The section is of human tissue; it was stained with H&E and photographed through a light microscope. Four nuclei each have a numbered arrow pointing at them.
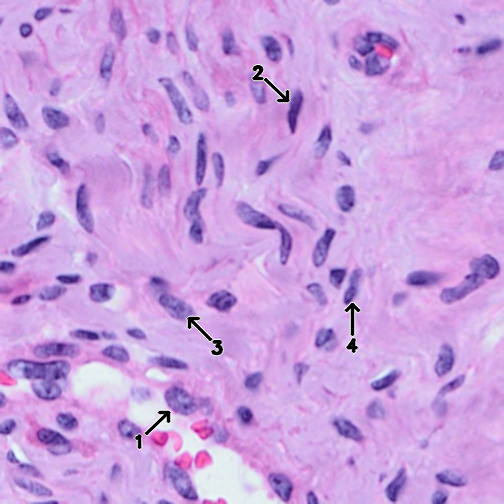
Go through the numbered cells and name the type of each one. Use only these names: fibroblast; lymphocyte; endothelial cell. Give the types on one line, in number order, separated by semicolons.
endothelial cell; fibroblast; fibroblast; fibroblast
